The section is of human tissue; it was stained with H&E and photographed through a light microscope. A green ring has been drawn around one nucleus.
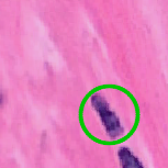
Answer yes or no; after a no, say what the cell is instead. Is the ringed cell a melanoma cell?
No, it is a lymphocyte.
